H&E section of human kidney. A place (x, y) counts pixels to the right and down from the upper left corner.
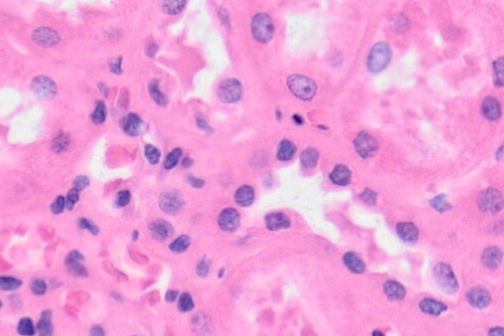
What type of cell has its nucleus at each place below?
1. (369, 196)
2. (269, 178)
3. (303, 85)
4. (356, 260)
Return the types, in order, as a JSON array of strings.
["loop of Henle or distal tubule cell", "loop of Henle or distal tubule cell", "proximal tubule cell", "loop of Henle or distal tubule cell"]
